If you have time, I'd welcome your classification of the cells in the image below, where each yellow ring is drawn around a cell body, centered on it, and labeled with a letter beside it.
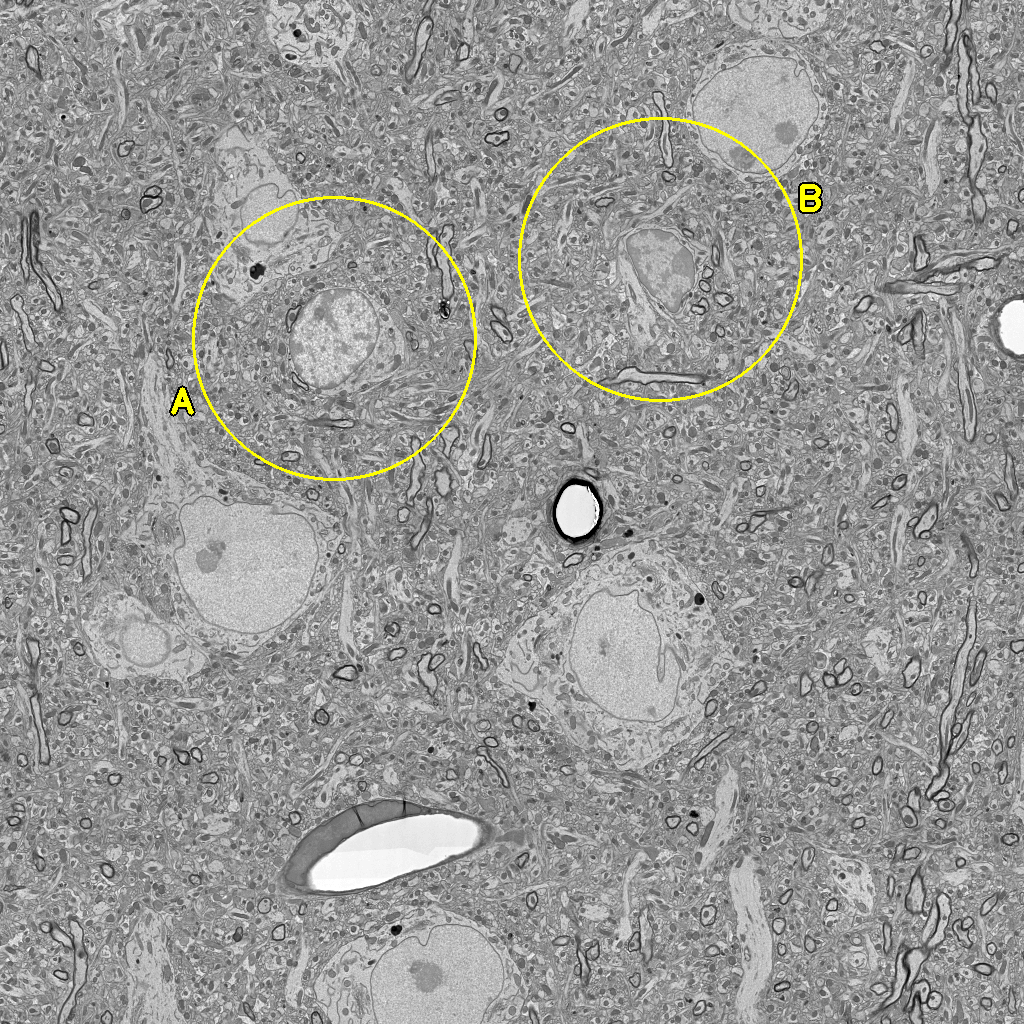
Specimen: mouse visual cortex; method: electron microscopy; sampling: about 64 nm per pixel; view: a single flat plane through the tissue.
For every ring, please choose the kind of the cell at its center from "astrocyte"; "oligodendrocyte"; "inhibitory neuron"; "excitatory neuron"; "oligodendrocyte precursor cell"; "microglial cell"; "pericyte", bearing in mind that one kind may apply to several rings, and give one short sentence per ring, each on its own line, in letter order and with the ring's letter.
At the center of ring A is an oligodendrocyte.
At the center of ring B is a microglial cell.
